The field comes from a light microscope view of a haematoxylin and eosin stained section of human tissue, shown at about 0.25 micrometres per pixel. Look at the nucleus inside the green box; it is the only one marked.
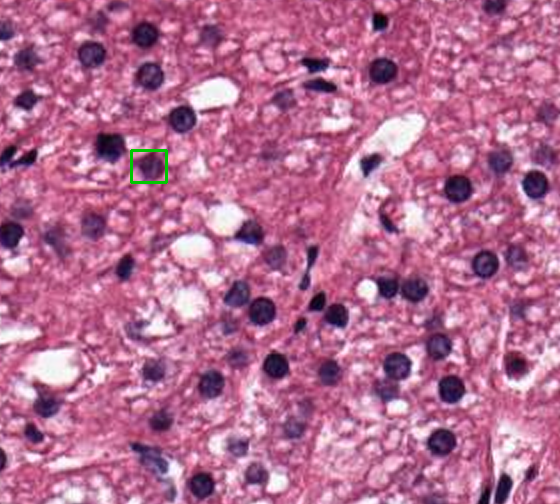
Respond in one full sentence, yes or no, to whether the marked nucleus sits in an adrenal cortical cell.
Yes, the nucleus that carries the mark belongs to an adrenal cortical cell.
